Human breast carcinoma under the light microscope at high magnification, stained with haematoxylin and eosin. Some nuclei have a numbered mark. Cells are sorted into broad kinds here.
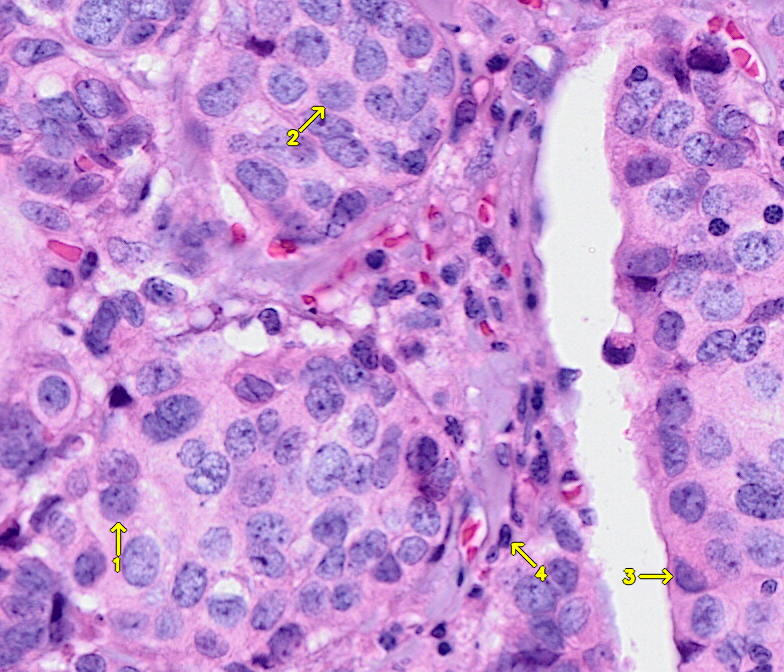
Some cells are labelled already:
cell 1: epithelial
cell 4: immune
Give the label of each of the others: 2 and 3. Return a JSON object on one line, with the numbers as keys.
{"2": "epithelial", "3": "epithelial"}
